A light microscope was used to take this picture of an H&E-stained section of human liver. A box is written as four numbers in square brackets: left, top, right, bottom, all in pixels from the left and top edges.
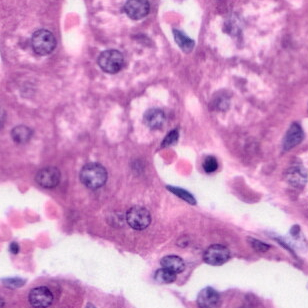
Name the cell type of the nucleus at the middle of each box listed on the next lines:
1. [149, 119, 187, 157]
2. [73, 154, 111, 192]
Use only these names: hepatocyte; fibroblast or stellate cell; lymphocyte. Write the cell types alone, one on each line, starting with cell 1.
fibroblast or stellate cell
hepatocyte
